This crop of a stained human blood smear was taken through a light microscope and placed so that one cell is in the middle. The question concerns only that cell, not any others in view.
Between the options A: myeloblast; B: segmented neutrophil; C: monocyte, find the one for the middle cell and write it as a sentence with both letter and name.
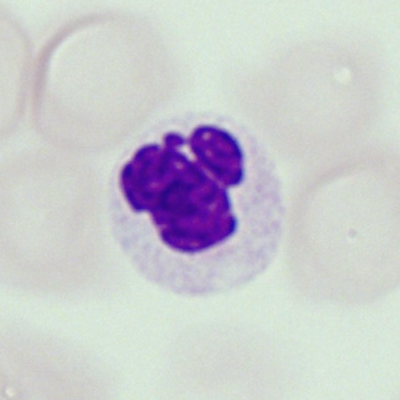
The cell centered in the crop is a segmented neutrophil, making option B the correct pick.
